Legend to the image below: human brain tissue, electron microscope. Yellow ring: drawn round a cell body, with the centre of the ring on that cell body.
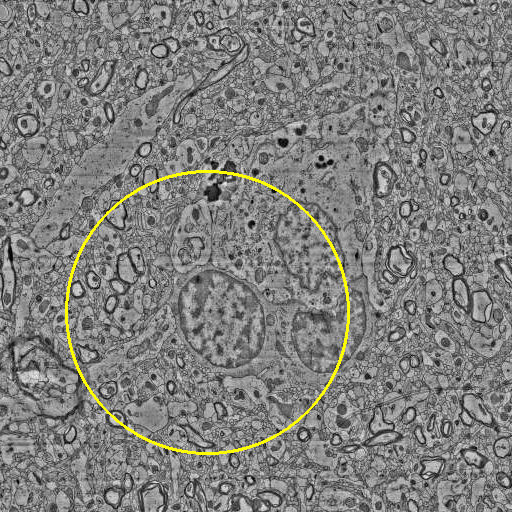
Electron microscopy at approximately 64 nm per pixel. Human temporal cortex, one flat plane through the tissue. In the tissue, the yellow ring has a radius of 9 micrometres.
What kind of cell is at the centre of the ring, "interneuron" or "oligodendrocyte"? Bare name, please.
oligodendrocyte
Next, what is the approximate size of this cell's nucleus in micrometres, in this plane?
In this plane, the nucleus of the cell at the centre of the ring measures about 6 by 5 micrometres.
